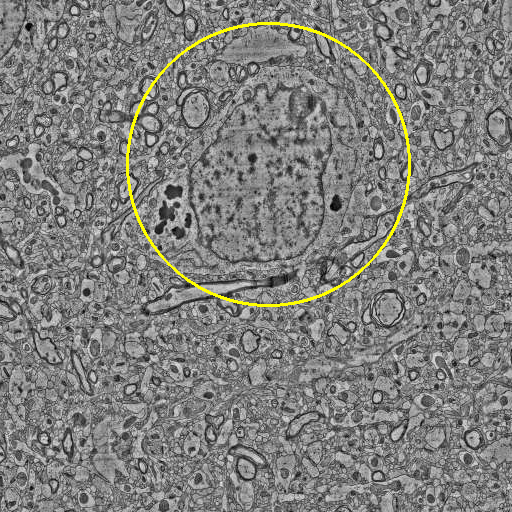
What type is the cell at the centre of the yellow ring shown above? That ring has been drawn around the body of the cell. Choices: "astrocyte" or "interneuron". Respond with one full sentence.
My answer is that an interneuron lies at the centre of the yellow ring above.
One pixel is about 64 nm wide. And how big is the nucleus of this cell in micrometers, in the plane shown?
About 12 micrometres by about 9 micrometres in this plane.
